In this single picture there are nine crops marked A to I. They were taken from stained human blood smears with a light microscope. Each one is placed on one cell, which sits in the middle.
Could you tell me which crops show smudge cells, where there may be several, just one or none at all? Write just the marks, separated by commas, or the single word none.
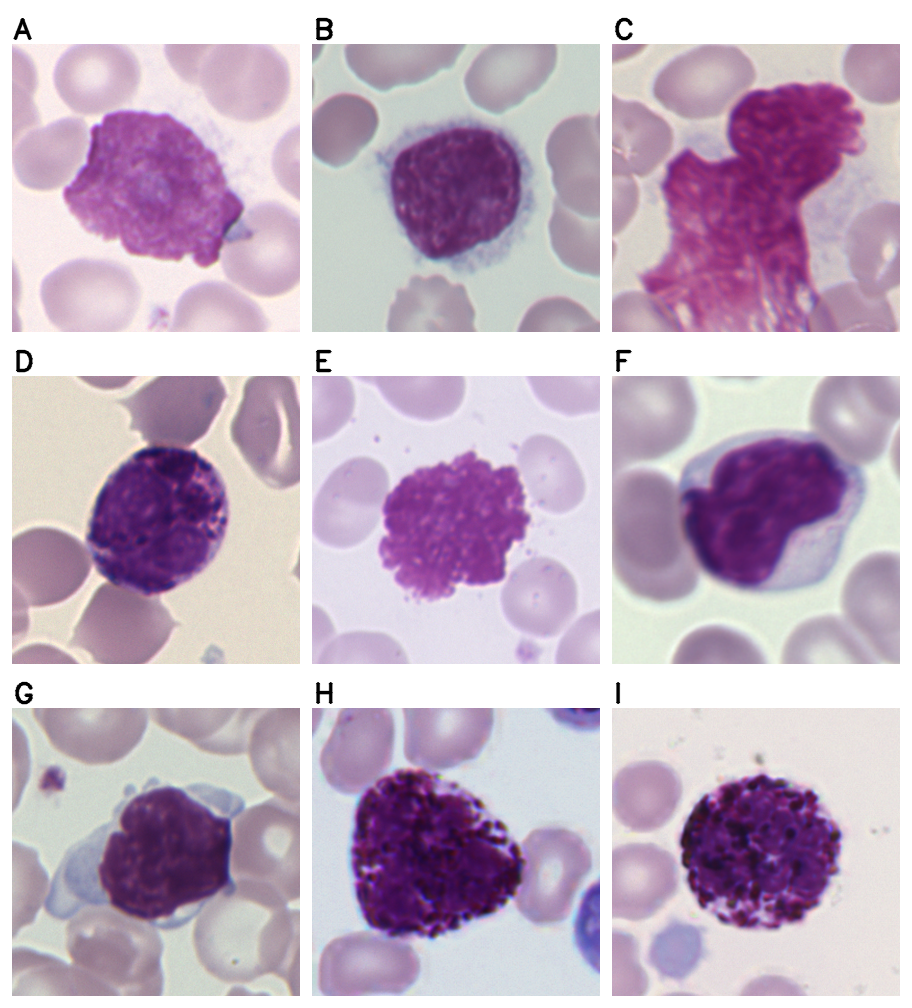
A, C, E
